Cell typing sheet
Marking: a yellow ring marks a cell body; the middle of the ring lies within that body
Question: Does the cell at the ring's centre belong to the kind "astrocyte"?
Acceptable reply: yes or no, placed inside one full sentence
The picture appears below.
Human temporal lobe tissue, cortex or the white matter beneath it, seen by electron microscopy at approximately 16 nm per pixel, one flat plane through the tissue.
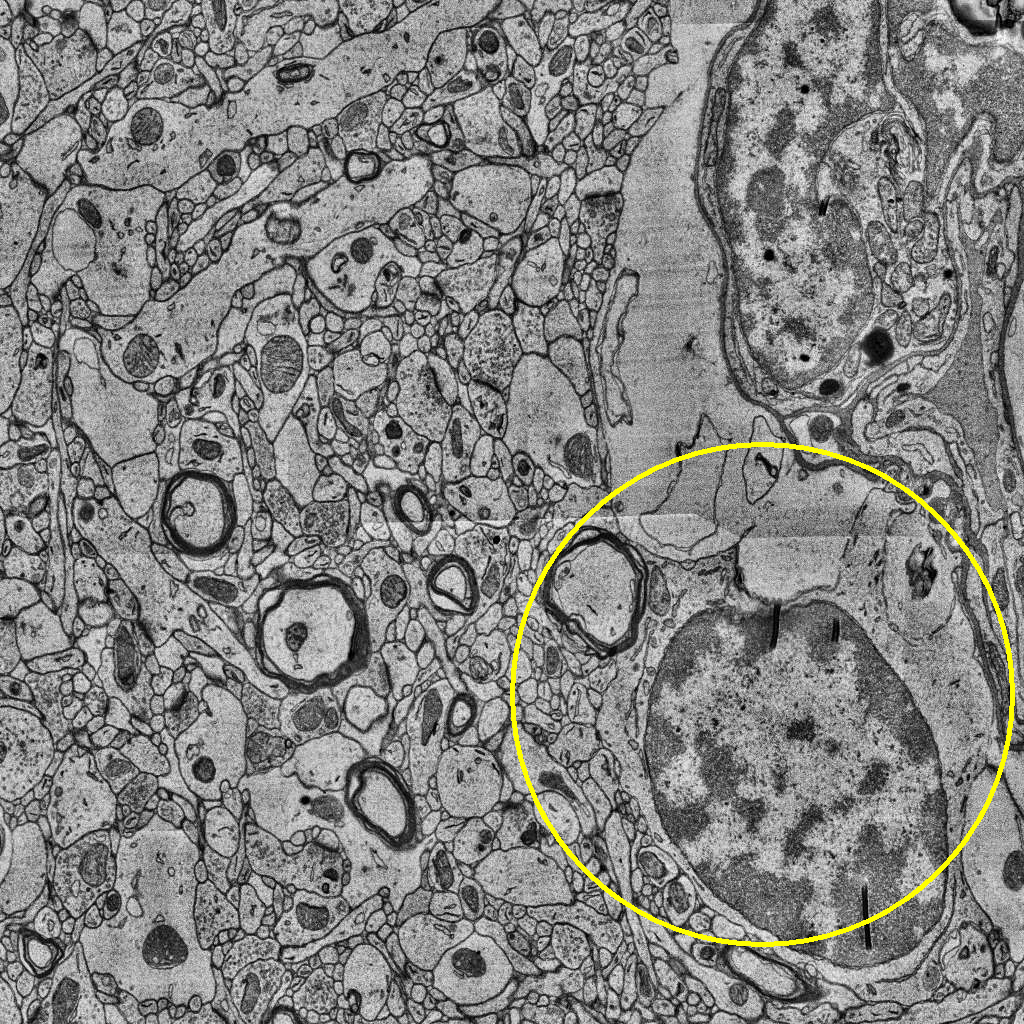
No, the cell at the centre of the ring belongs to a different kind.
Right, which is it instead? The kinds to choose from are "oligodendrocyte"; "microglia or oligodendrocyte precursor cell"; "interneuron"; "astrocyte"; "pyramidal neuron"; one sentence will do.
At the centre of the ring sits a microglial cell or oligodendrocyte precursor cell.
